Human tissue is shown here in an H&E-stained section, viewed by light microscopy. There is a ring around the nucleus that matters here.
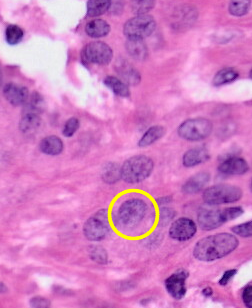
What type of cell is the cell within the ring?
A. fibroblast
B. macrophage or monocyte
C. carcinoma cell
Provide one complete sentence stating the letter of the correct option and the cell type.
In the section, the cell within the ring is a carcinoma cell, and option C is correct accordingly.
